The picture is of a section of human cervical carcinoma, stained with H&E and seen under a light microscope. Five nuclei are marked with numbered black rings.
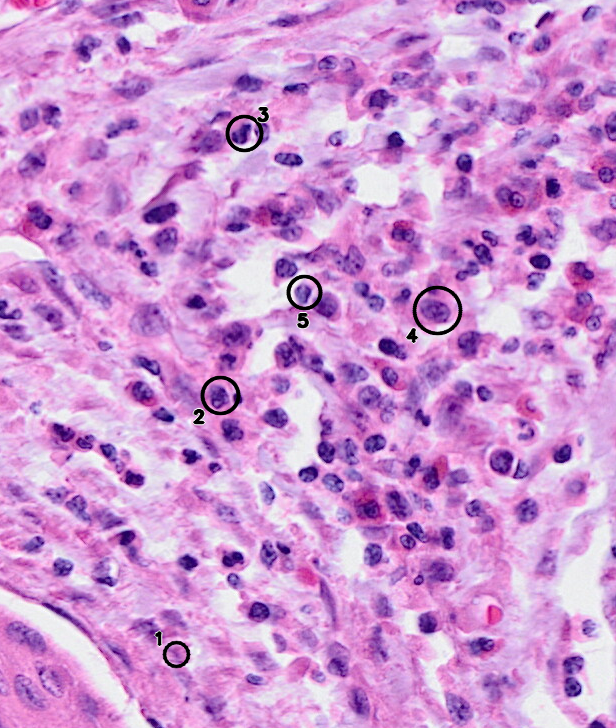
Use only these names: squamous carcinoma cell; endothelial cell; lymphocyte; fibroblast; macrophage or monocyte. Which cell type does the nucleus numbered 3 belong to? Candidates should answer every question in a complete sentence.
The identity of cell 3 is that of a lymphocyte.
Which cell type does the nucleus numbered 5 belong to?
Corresponding to a lymphocyte is the cell labelled 5.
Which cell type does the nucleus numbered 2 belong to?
Marked with the number 2, this cell is a lymphocyte.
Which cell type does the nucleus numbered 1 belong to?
As for number 1, that cell is a fibroblast.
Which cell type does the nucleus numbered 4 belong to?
The cell numbered 4 has been identified as a macrophage or monocyte.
